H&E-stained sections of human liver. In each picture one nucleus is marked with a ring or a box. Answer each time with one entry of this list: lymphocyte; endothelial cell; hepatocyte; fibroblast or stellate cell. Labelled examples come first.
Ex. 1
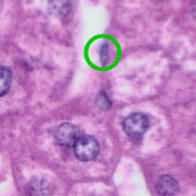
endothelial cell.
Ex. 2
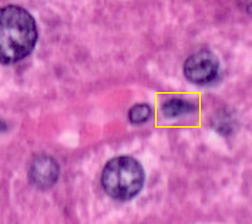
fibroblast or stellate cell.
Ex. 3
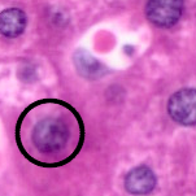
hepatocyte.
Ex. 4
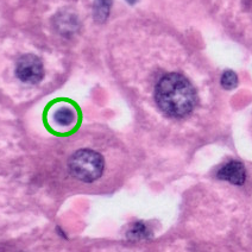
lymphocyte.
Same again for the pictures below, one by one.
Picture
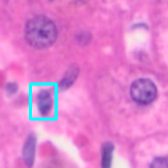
fibroblast or stellate cell.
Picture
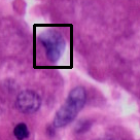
endothelial cell.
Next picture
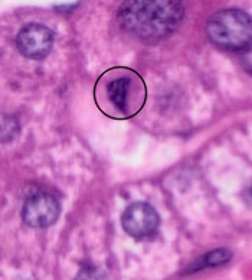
fibroblast or stellate cell.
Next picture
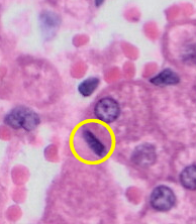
fibroblast or stellate cell.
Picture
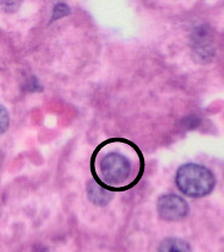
hepatocyte.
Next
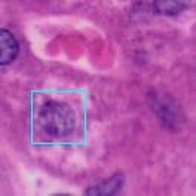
hepatocyte.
